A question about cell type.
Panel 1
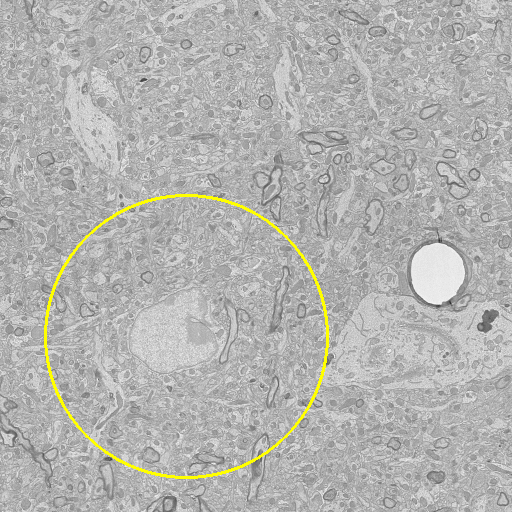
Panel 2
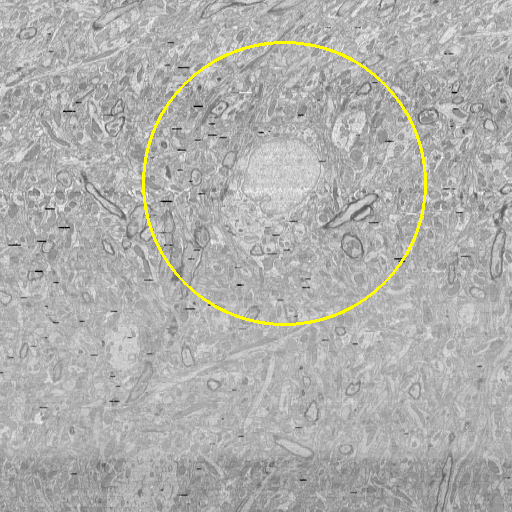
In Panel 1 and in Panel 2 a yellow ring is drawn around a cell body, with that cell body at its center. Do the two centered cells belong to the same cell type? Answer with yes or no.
yes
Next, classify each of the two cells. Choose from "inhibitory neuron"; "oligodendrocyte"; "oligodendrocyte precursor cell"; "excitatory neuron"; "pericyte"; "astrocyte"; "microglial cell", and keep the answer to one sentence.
Each of the two rings surrounds an oligodendrocyte precursor cell.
